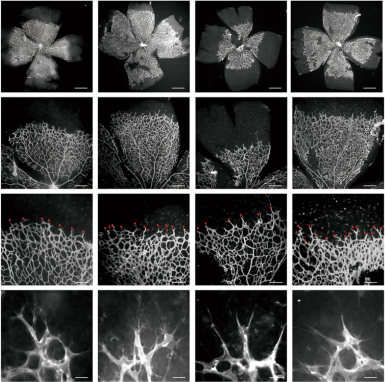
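This is a grid of flat-mounted retinas with the blood vessel network stained bright on a dark background, shown at four magnifications from top to bottom. In the top row each retina is spread as a four-lobed clover, with a branching meshwork of vessels radiating out from the centre. In one column the meshwork appears to stop well short of the retinal edge. The lower rows zoom into the growing front of the network, where vessel ends push outward as sprouts. In the closest views these sprouts carry fine thread-like projections.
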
